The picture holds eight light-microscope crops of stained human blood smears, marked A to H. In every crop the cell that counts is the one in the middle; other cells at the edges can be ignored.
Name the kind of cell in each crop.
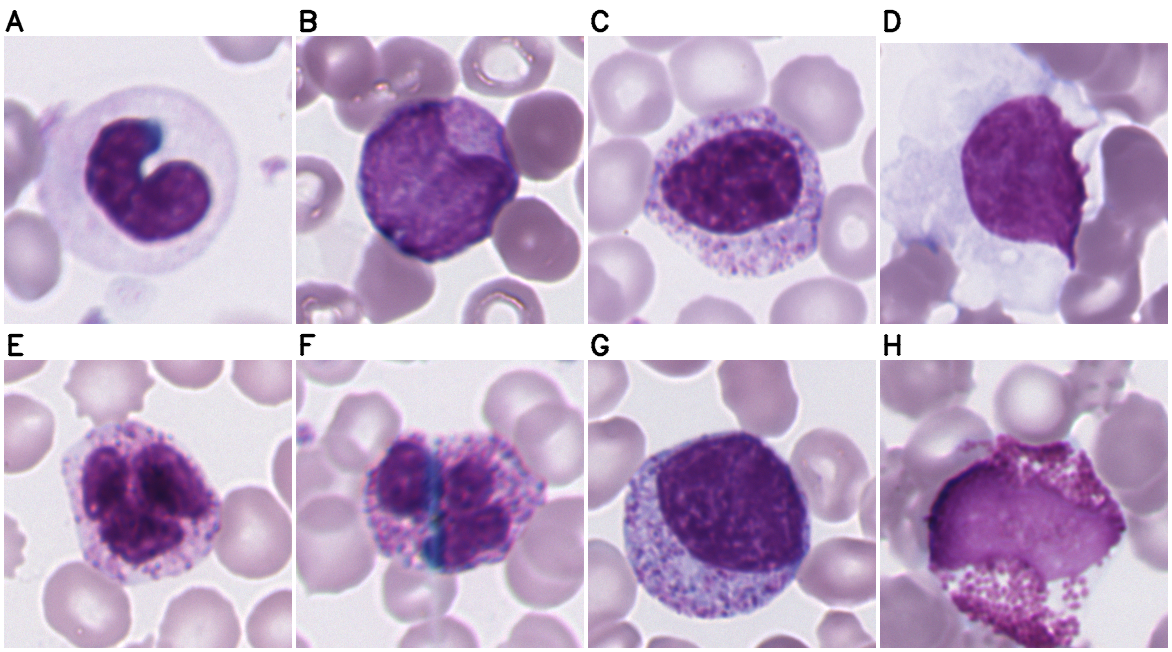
A: band neutrophil
B: atypical promyelocyte
C: myelocyte
D: hairy cell
E: basophil
F: basophil
G: myelocyte
H: eosinophil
